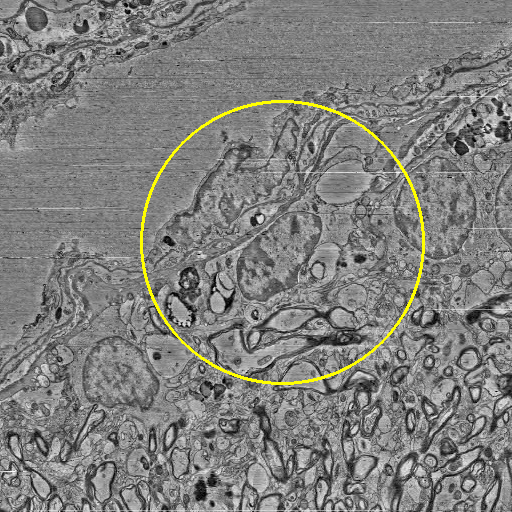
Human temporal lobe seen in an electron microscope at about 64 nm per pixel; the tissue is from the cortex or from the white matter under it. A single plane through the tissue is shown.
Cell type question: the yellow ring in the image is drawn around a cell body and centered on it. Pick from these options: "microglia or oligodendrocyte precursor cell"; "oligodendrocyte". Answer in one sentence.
The ringed cell at the center is a microglial cell or oligodendrocyte precursor cell.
